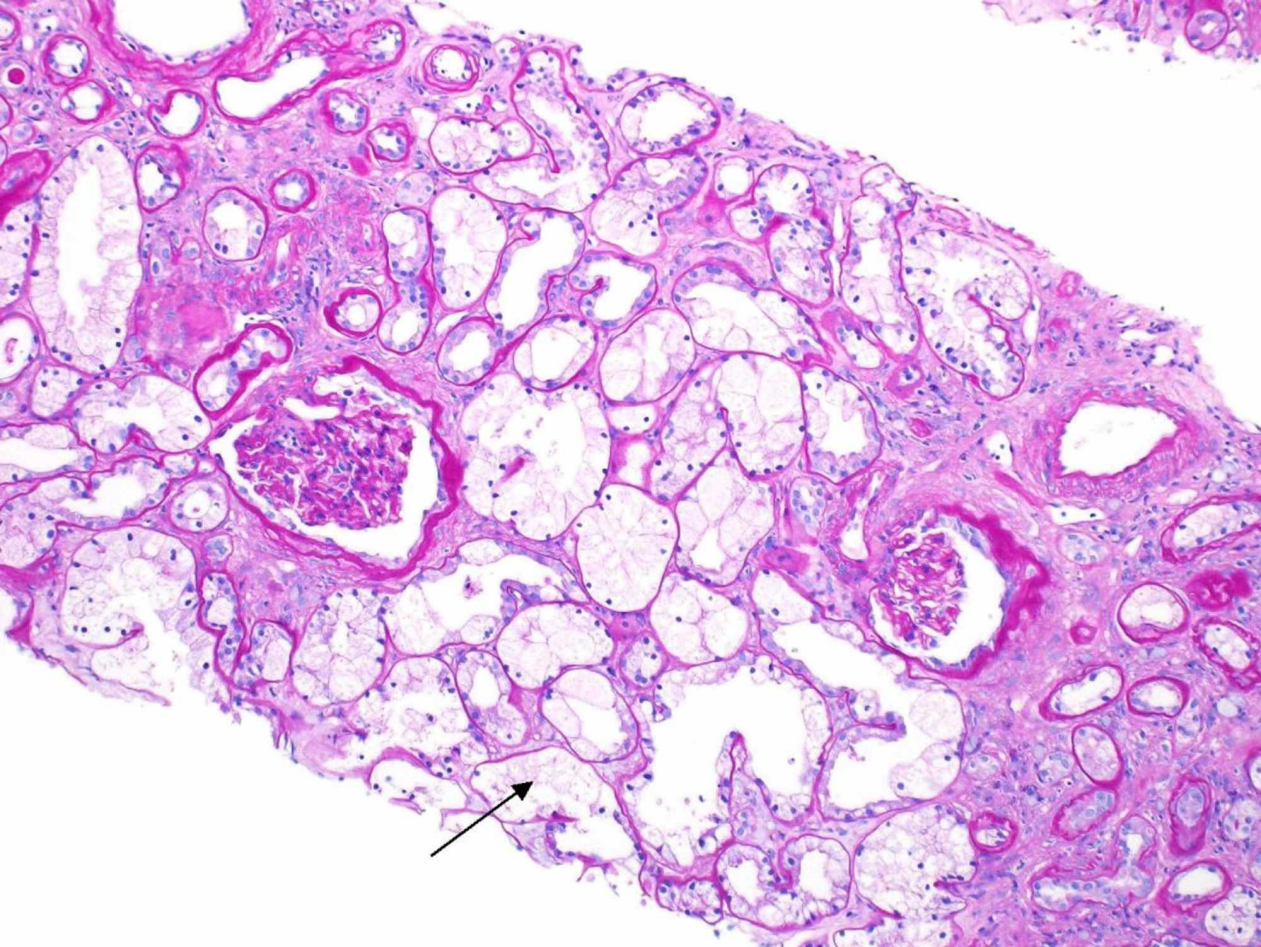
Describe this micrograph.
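This is a section of kidney cortex with two glomeruli and many tubules, stained so that basement membranes and matrix appear magenta. In the centre and lower part, many tubules are lined by swollen epithelial cells whose cytoplasm is pale and filled with numerous small, clear vacuoles of similar size, with small nuclei at the cell bases. Toward the edges, particularly on the right and upper left, the interstitium is widened and pink, and it contains small tubules with thickened, wrinkled magenta basement membranes and a scattering of nuclei. The glomeruli sit within Bowman's spaces, and the capsule of the right glomerulus has a thick magenta wall.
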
